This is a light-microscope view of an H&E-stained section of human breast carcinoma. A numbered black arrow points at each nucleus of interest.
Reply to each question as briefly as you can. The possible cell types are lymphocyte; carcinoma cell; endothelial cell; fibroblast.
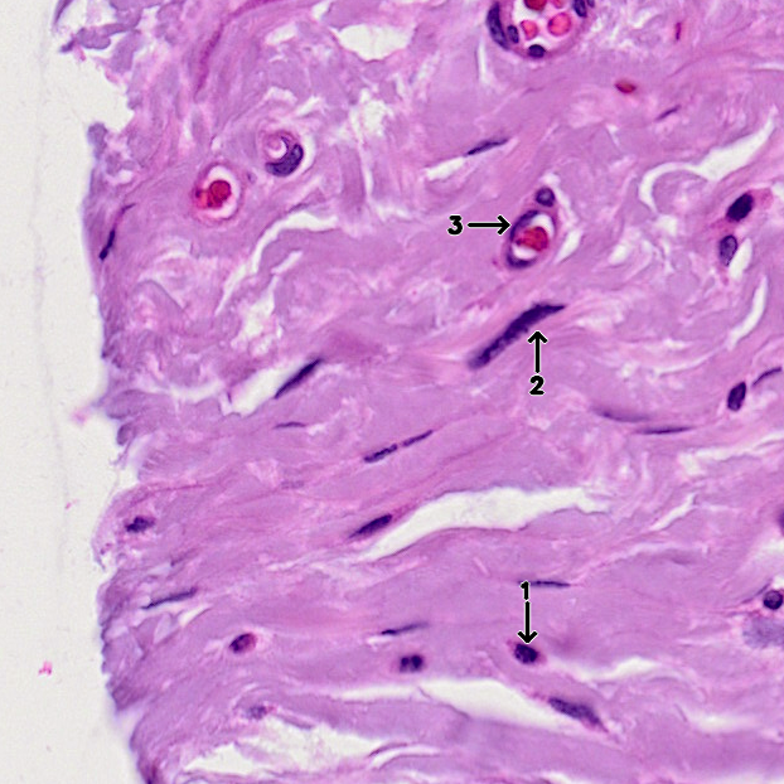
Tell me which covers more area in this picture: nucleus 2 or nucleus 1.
2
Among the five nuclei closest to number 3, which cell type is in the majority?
fibroblast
